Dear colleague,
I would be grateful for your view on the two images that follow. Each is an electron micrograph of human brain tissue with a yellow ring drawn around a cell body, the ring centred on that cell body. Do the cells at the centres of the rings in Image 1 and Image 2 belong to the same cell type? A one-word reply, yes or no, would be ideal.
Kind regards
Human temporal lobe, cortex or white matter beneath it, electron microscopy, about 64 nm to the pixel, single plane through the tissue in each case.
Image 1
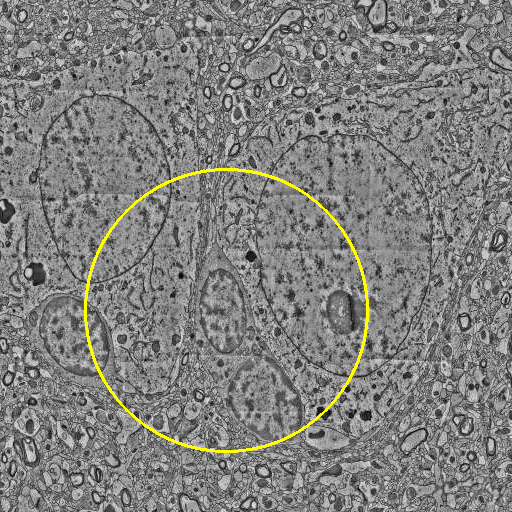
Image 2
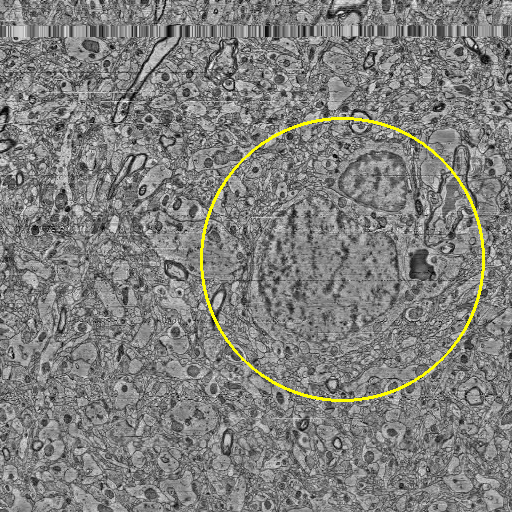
no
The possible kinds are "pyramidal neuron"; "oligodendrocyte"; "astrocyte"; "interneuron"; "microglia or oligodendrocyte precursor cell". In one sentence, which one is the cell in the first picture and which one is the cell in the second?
The cell ringed in the second picture is an interneuron, whereas the one ringed in the first is an oligodendrocyte.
